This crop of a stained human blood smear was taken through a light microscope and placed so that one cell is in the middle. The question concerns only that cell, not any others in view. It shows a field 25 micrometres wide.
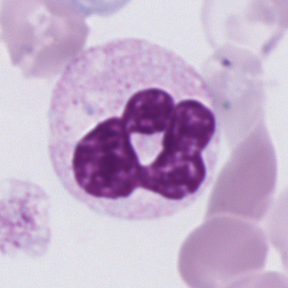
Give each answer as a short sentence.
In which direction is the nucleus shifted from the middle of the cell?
The nucleus lies toward the lower right of the cell.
